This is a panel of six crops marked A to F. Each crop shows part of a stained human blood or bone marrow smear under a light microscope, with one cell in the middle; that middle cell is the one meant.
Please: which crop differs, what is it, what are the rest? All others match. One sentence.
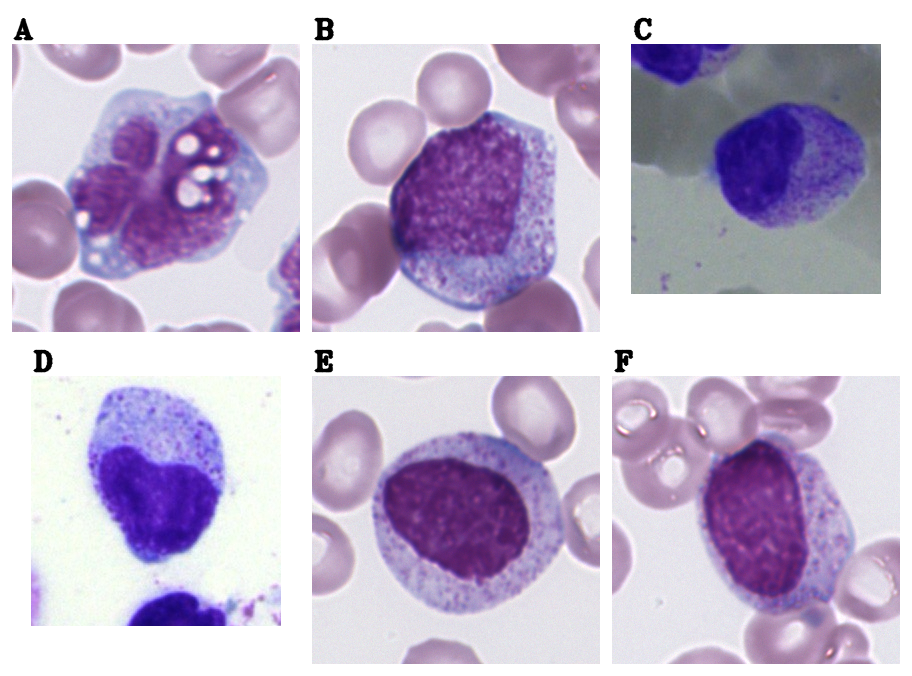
The pattern of myelocytes across the crops is broken only by crop A, which shows a monocyte.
